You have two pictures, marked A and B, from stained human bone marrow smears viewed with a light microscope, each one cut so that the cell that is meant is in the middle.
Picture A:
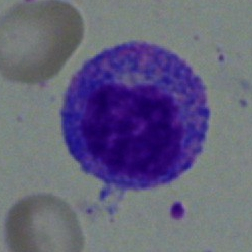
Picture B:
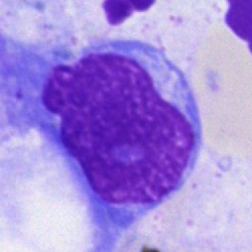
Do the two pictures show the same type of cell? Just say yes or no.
no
